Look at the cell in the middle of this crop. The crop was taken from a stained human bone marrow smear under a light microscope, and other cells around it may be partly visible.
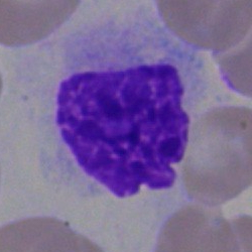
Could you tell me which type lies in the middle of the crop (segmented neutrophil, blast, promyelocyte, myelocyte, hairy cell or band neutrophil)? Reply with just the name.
hairy cell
